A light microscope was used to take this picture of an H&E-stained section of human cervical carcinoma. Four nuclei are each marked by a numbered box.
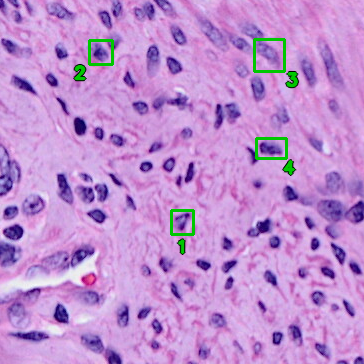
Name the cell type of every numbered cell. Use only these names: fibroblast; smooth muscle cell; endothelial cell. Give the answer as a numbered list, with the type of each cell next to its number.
1. smooth muscle cell
2. smooth muscle cell
3. smooth muscle cell
4. fibroblast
